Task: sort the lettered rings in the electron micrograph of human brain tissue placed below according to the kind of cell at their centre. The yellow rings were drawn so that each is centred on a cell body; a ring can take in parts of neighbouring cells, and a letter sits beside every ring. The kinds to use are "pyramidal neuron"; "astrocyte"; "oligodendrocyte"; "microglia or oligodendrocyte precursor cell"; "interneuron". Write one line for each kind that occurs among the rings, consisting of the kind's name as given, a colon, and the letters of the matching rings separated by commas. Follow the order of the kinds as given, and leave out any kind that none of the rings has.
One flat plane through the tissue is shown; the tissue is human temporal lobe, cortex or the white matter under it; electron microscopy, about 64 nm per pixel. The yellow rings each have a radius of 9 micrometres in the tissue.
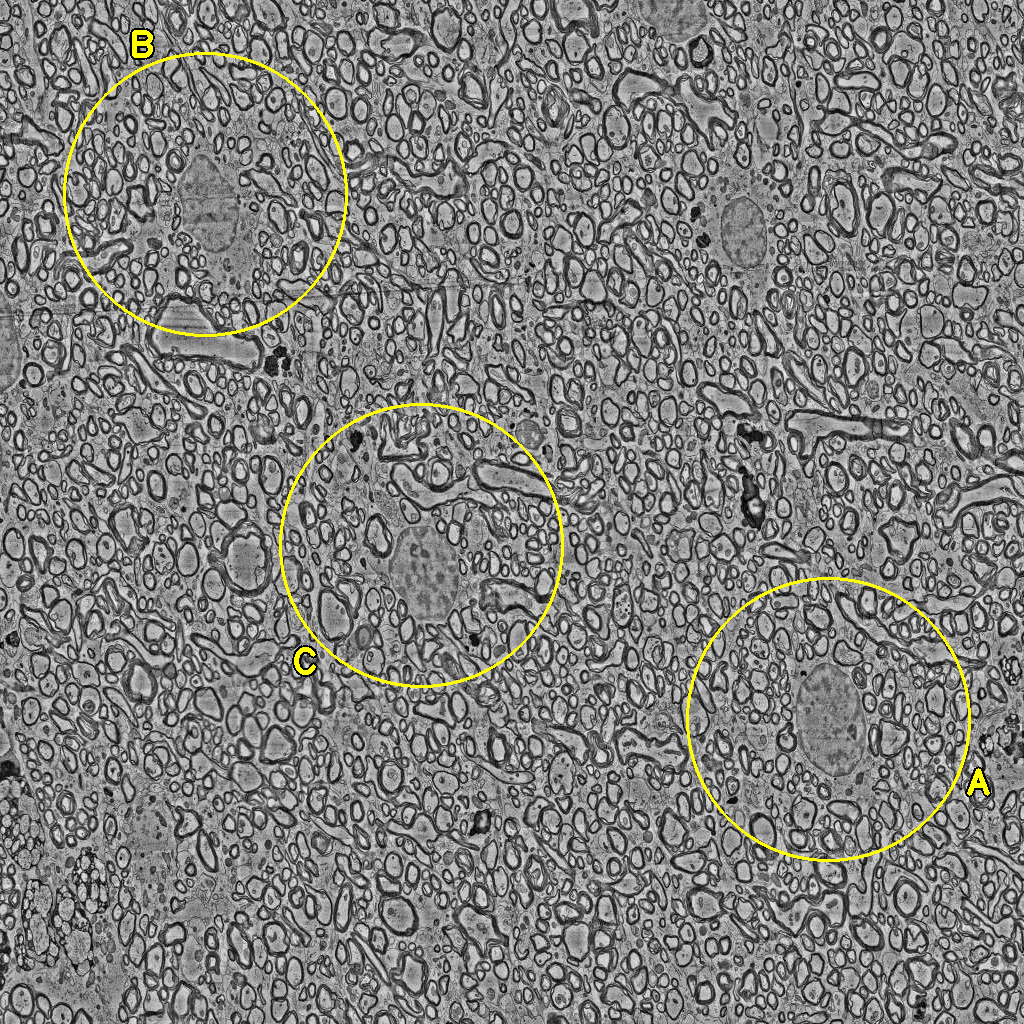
oligodendrocyte: A, B, C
